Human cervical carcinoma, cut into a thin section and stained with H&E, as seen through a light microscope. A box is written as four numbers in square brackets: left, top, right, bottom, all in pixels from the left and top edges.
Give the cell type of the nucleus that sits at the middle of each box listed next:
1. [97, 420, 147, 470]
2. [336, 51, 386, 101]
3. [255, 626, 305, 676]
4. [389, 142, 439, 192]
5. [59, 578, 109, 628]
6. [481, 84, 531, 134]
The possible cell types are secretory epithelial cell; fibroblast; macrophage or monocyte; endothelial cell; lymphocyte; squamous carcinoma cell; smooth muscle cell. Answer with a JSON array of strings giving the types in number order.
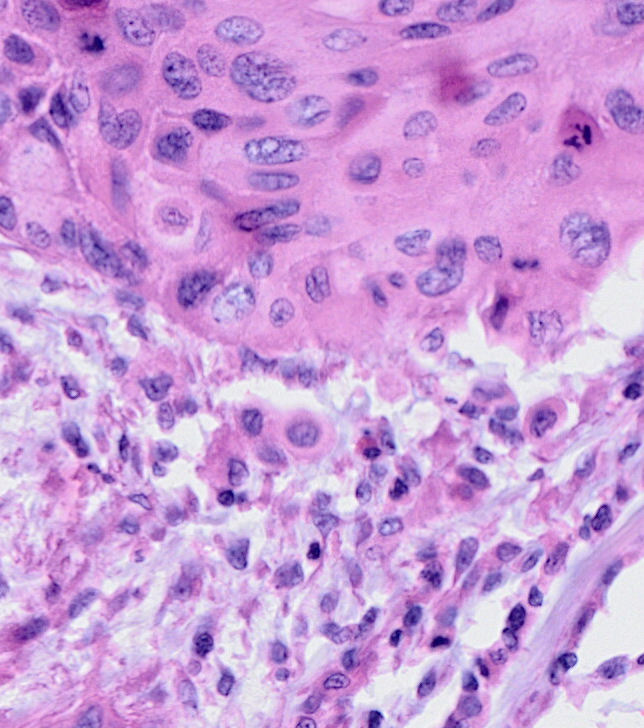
["fibroblast", "squamous carcinoma cell", "macrophage or monocyte", "squamous carcinoma cell", "fibroblast", "squamous carcinoma cell"]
